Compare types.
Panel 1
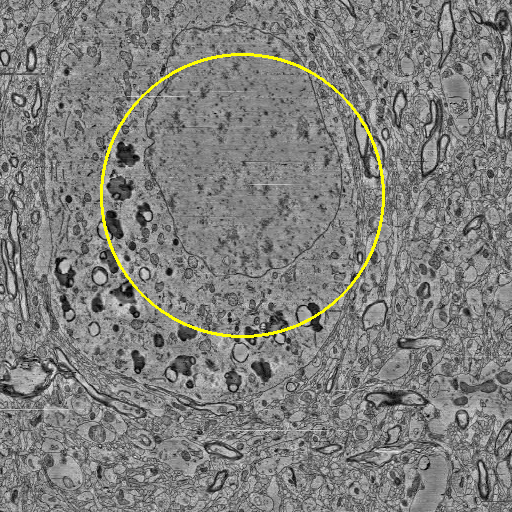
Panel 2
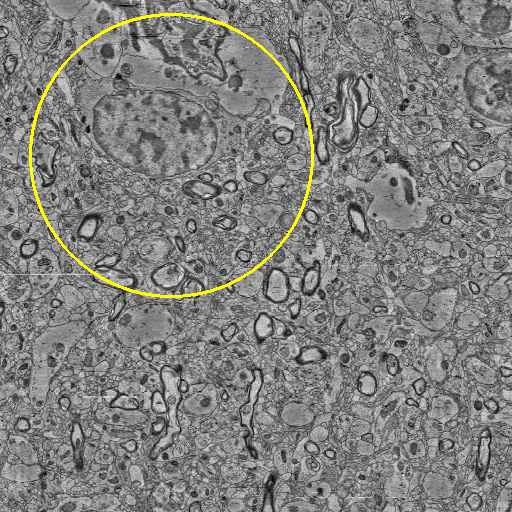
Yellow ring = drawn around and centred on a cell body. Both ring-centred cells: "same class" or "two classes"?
two classes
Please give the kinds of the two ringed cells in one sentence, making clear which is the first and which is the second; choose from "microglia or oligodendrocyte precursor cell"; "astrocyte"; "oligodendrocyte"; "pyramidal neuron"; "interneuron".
In the second picture the ringed cell is an oligodendrocyte; in the first it is a pyramidal neuron.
